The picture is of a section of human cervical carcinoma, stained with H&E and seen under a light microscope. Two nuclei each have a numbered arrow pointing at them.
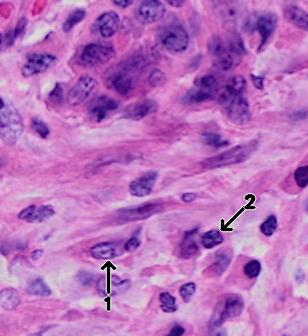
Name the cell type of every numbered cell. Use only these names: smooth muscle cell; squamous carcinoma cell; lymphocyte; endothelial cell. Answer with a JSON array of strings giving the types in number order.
["endothelial cell", "lymphocyte"]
